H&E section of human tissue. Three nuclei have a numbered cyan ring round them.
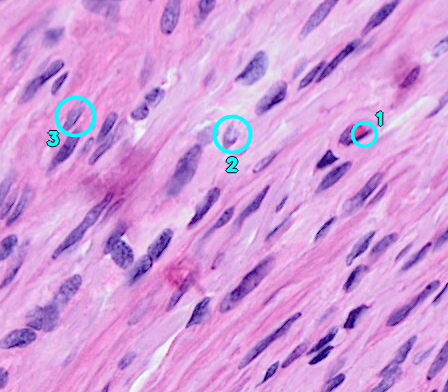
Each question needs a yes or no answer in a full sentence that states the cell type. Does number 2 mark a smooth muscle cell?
No, it is a fibroblast, not a smooth muscle cell, at number 2.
